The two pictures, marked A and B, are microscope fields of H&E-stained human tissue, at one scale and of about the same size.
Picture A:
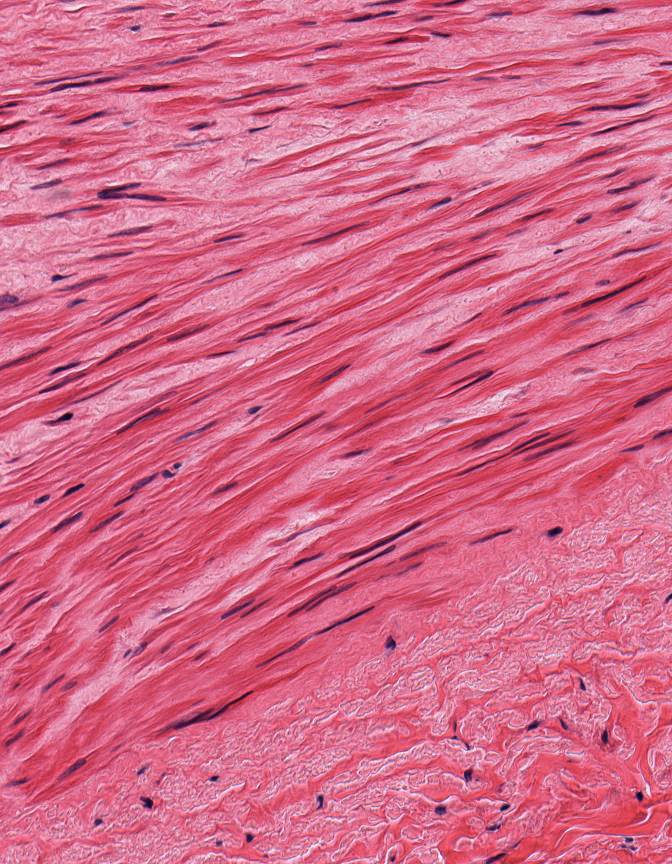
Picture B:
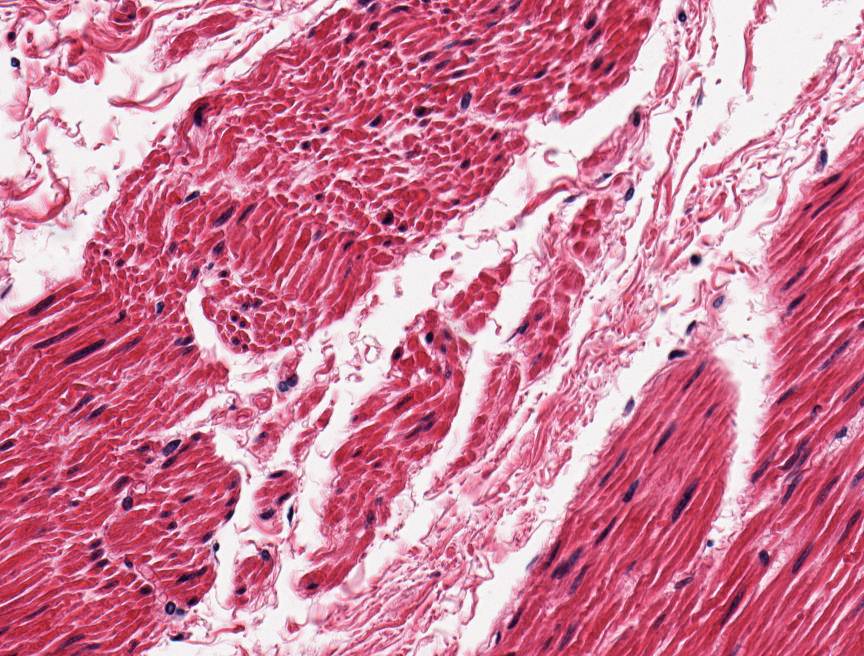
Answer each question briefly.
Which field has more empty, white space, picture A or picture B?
B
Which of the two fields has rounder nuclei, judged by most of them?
B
